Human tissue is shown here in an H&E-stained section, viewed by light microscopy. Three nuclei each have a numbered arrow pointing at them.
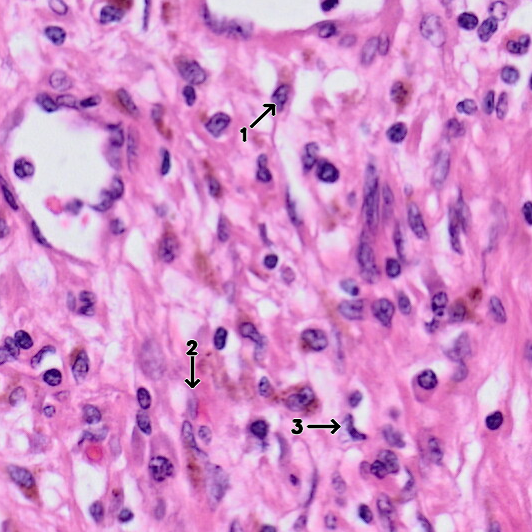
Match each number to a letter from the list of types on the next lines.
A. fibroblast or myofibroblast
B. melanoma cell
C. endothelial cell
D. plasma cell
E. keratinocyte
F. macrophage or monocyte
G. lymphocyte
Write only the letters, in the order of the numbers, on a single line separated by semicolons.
F; C; A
